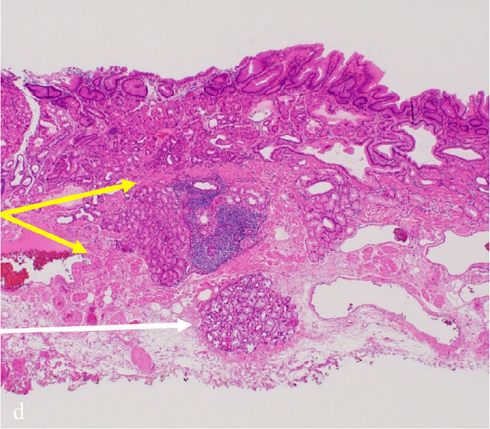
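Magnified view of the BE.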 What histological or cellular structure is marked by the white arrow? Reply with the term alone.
intrinsic esophageal glands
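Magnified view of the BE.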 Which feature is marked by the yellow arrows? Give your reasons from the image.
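Double layer of muscularis mucosae. The arrows point to two separate pink bands of smooth muscle-like tissue beneath the mucosal glands. The bands lie between the superficial glandular mucosa and the deeper loose tissue.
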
